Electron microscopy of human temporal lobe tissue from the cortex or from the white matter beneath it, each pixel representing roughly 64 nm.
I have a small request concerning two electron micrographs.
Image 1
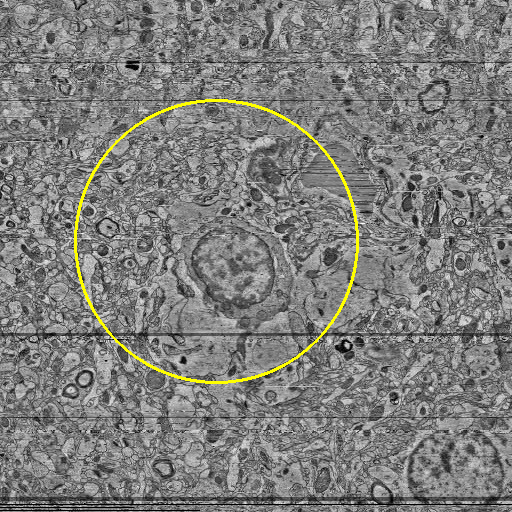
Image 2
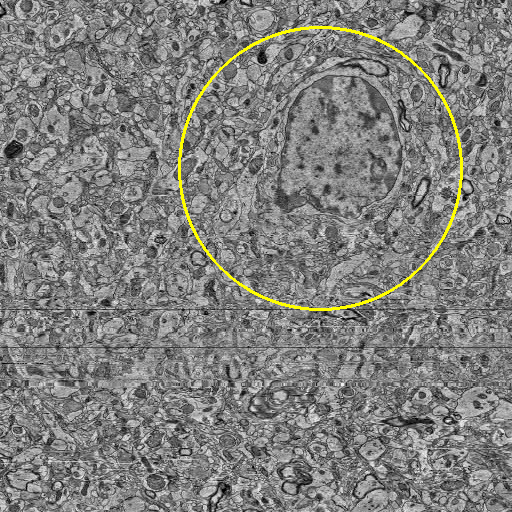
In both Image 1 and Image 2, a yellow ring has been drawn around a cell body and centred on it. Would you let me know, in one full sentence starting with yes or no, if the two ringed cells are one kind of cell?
No, the cells ringed in Image 1 and Image 2 are two kinds of cell.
